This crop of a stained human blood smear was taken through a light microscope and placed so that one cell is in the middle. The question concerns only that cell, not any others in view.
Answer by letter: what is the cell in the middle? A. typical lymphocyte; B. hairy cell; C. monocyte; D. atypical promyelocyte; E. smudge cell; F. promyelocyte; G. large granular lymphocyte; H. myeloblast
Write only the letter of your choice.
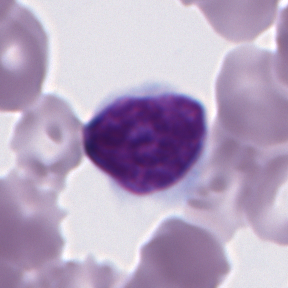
B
